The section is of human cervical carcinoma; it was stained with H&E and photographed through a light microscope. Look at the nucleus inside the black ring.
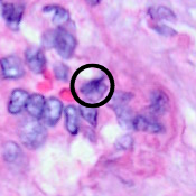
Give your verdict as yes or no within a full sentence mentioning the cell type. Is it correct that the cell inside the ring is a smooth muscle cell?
No, the cell inside the ring is simply an endothelial cell rather than a smooth muscle cell.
